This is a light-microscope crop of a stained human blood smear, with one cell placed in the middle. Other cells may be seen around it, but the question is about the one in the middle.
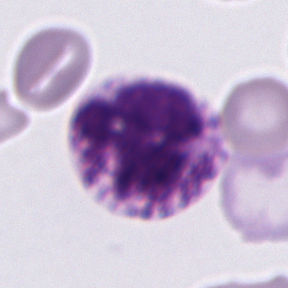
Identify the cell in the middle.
basophil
